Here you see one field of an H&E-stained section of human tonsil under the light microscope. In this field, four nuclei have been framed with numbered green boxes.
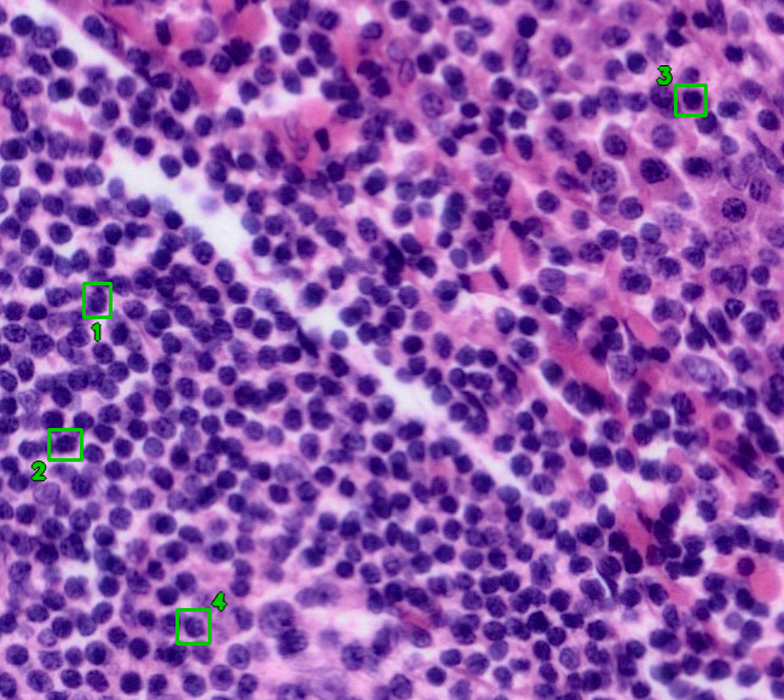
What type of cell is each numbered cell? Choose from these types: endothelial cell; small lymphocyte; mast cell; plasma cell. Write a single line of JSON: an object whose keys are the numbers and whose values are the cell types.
{"1": "small lymphocyte", "2": "small lymphocyte", "3": "plasma cell", "4": "small lymphocyte"}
